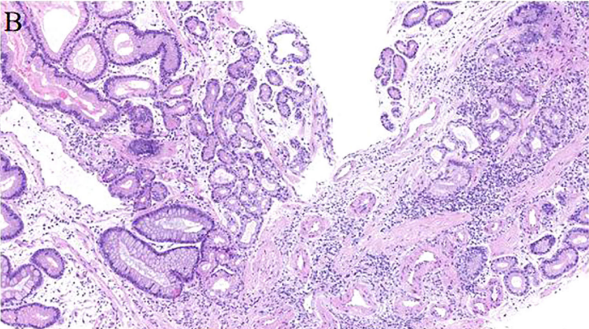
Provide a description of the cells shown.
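This is gastric mucosa showing atrophy, intestinal metaplasia and inflammation. Glands are fewer than normal and vary in size and shape; some larger glands are lined by tall columnar epithelium containing goblet-like cells with clear mucin vacuoles, while clusters of small, rounded glands with pale cytoplasm lie nearby. The lamina propria between the glands is crowded with small dark round inflammatory cells, densest on the right side, and pink bundles of smooth muscle run through the stroma. Nuclei of the gland epithelium sit in a row at the base.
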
